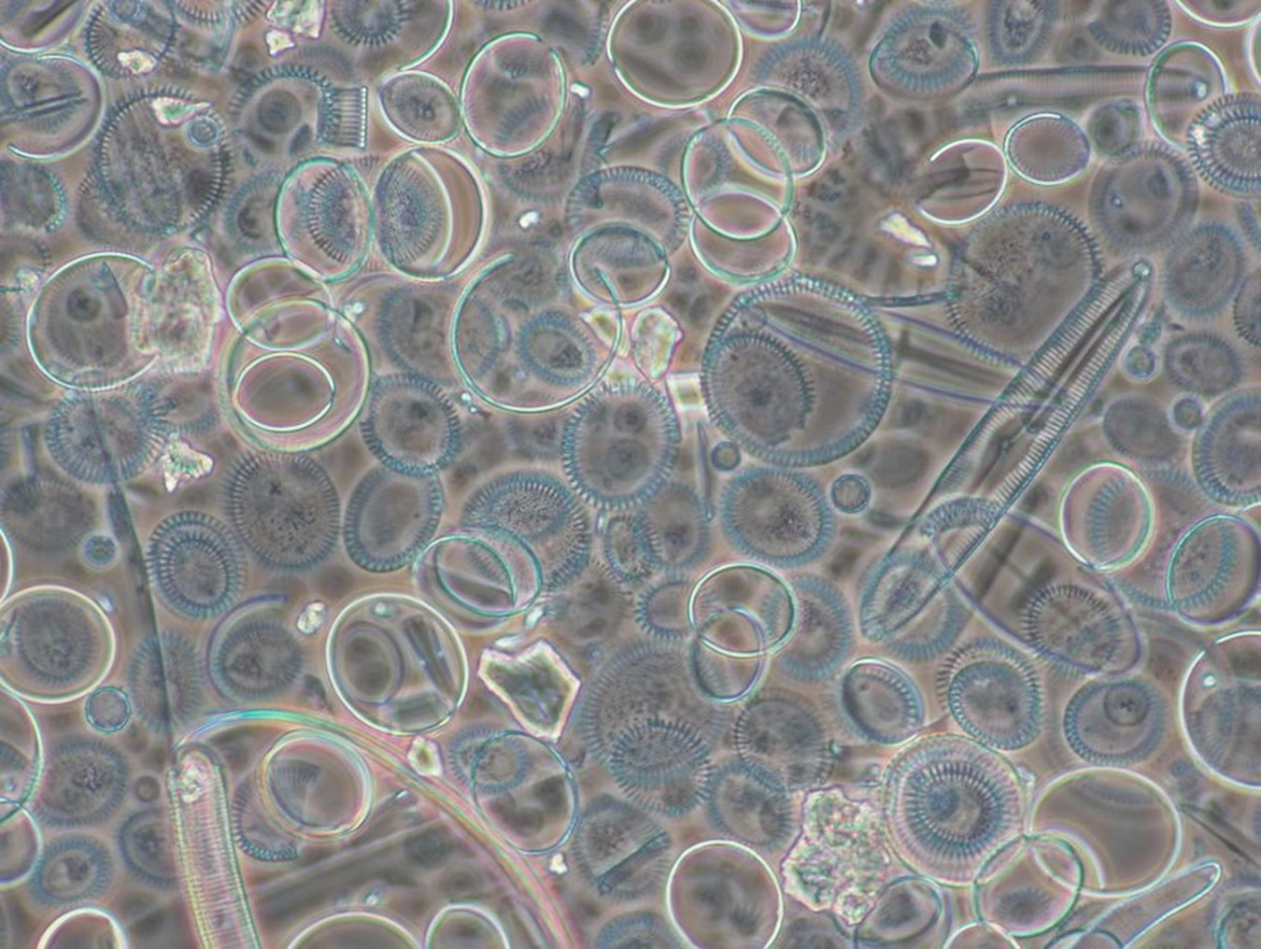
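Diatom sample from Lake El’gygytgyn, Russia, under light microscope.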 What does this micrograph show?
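A ring of fine radial striae runs around each margin, and the centre is smoother or finely granular. Many other circles are thin, bright, empty rings without pattern, and they overlap one another. Fewer elongated, spindle-shaped valves cross the field, each with closely set transverse striae along its length. Small angular, irregular, glassy fragments without any regular pattern are scattered between the valves.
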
